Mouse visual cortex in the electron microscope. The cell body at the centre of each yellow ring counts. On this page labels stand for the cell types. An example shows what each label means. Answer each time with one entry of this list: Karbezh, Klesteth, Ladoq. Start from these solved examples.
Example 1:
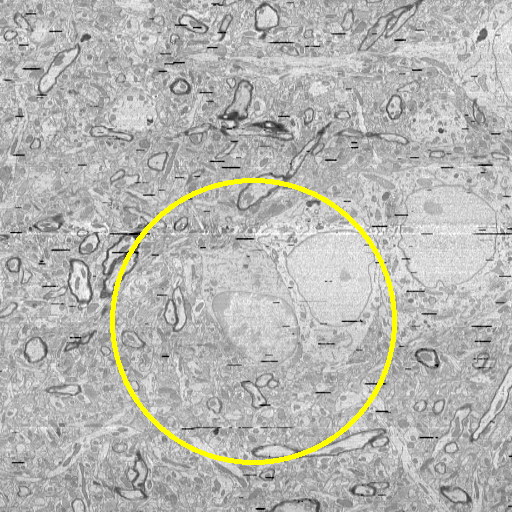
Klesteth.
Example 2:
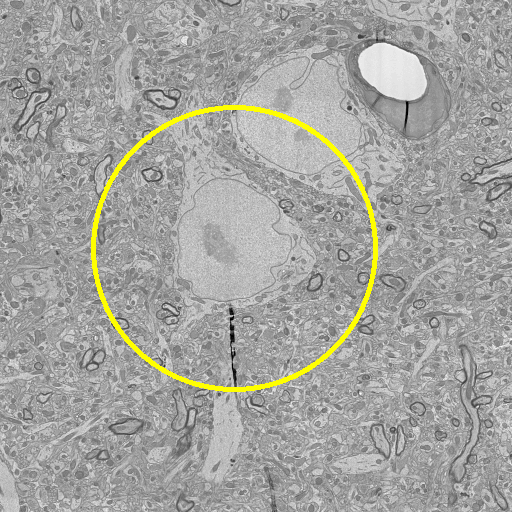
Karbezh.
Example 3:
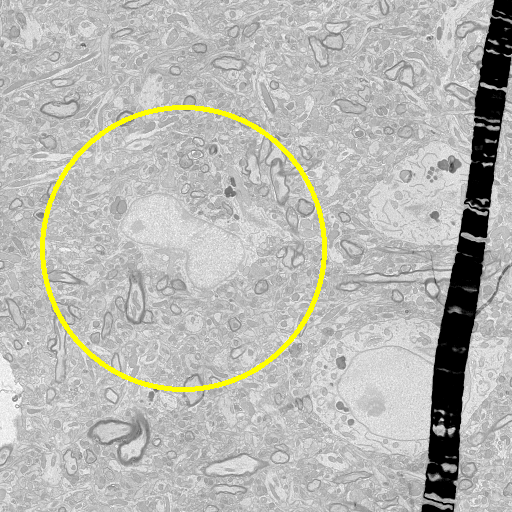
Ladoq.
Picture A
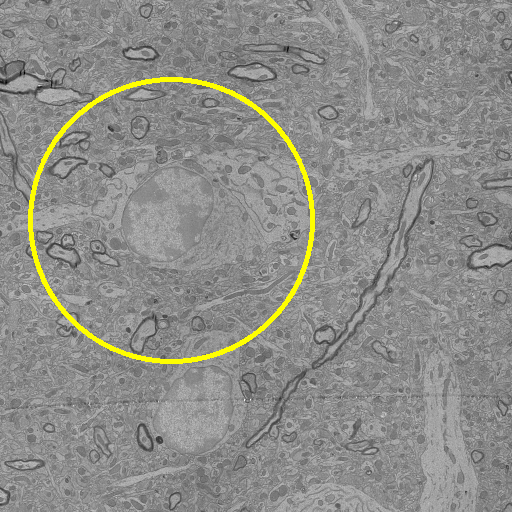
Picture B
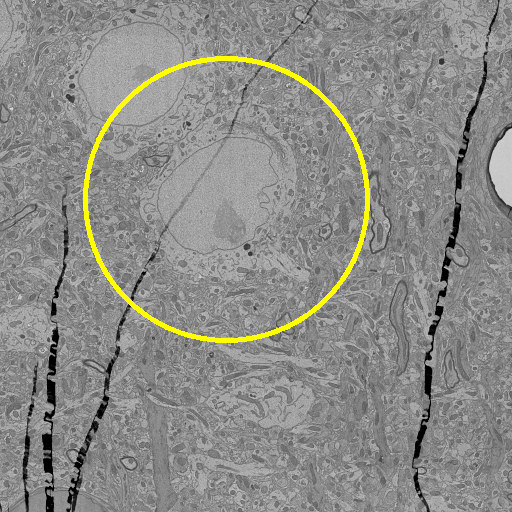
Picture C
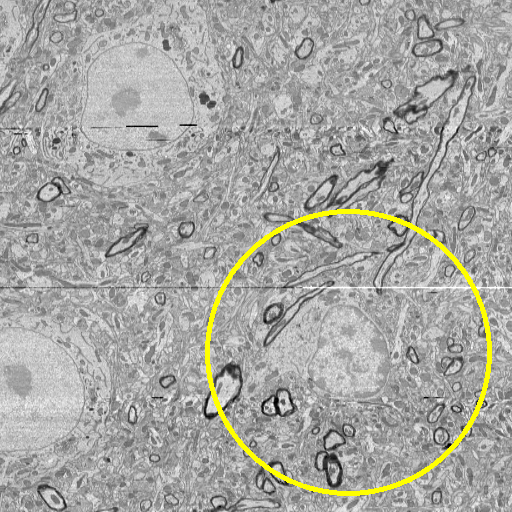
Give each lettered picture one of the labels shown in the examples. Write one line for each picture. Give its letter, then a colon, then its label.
A: Klesteth.
B: Karbezh.
C: Klesteth.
